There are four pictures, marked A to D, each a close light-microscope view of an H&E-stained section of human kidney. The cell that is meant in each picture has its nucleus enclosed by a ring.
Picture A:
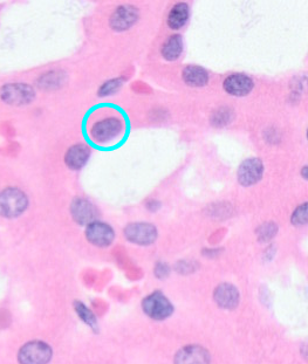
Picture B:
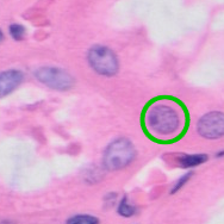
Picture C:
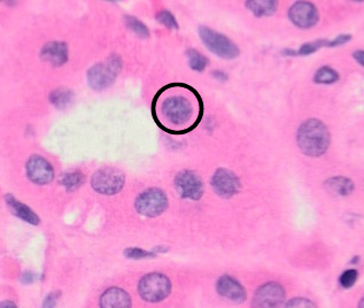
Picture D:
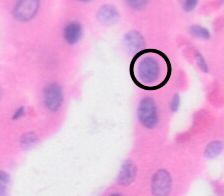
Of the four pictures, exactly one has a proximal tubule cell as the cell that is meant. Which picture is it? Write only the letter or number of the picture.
B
